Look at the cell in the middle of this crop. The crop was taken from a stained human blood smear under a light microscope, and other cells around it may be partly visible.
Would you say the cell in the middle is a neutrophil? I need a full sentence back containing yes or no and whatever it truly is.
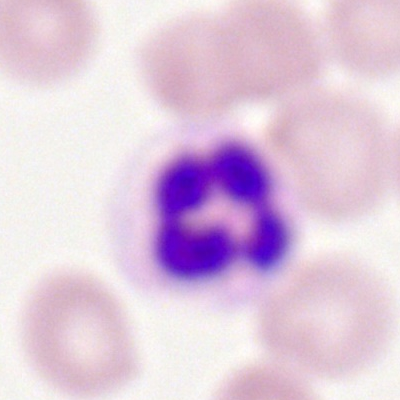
Yes, in the centre of this field sits a neutrophil.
